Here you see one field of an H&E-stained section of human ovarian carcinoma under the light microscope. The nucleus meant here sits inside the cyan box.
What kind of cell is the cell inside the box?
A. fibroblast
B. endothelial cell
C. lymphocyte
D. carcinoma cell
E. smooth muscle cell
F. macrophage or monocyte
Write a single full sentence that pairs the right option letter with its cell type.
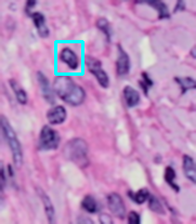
Option C gets it right: the cell inside the box is a lymphocyte.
